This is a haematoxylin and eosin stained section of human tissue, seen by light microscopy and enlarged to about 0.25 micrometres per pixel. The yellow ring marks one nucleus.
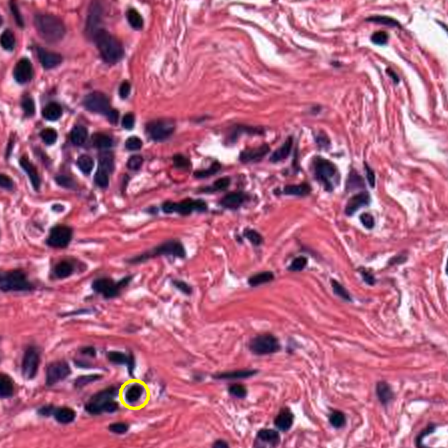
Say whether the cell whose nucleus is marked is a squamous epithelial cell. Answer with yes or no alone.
no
